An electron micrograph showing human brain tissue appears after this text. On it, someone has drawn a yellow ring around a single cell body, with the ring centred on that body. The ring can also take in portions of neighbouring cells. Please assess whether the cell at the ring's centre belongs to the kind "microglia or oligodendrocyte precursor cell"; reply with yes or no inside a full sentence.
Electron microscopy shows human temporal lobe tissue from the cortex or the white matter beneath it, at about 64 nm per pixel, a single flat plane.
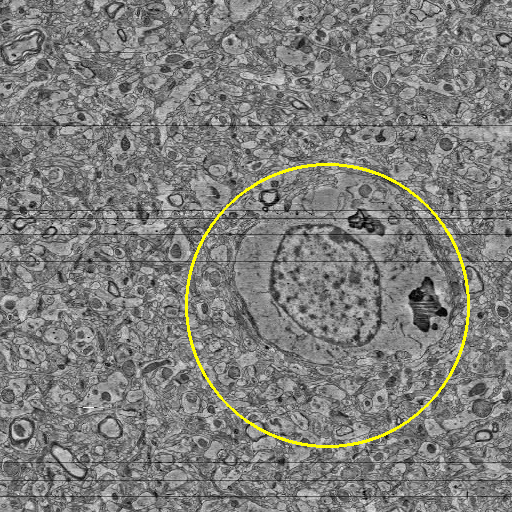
No, in this micrograph the cell at the centre of the ring is of another kind.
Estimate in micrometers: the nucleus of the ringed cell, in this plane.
In this plane the nucleus spans approximately 9 by 7 micrometers.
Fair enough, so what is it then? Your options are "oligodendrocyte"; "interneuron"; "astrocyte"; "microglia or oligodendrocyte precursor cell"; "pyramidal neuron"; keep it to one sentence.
As it turns out, the cell at the ring centre is an astrocyte.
